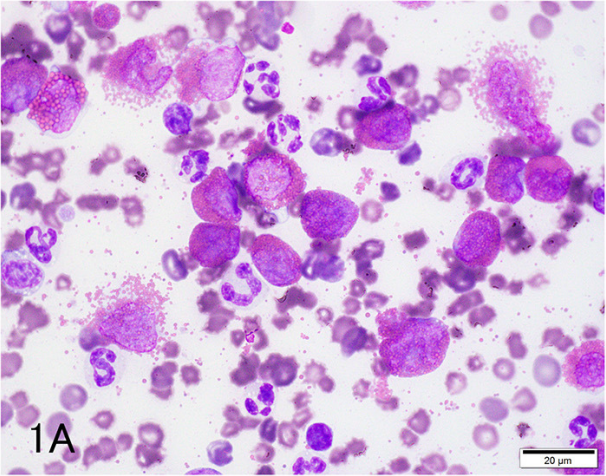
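This blood smear is crowded with large round cells whose abundant cytoplasm is filled with pink-orange granules, many of them with round or slightly indented nuclei rather than segmented ones. These are immature eosinophils, and they outnumber the other white cells. Scattered among them are smaller cells with segmented, lobed nuclei and paler cytoplasm, the fewer mature granulocytes such as neutrophils. Some of the granular cells appear ruptured, with loose pink granules spread onto the background. The red cells lie in between, many clumped and overlapping.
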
